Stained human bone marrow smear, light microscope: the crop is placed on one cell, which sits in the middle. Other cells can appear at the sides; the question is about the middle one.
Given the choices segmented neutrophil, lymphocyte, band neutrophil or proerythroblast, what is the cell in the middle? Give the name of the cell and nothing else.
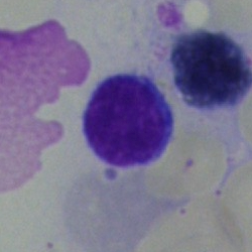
lymphocyte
